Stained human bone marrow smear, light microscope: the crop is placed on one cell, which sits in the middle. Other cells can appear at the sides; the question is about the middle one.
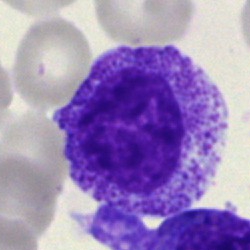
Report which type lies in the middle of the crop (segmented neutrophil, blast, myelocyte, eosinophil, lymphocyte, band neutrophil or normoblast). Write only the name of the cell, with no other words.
myelocyte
